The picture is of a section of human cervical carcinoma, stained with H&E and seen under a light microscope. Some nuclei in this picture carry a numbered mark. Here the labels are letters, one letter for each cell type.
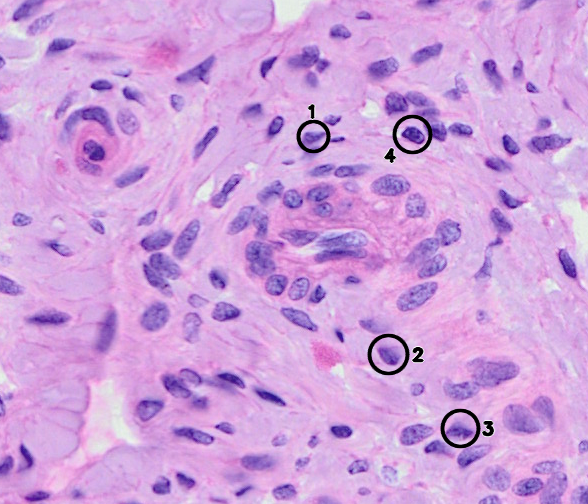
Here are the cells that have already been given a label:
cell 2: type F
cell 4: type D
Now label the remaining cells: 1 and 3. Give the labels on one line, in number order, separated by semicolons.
type F; type F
